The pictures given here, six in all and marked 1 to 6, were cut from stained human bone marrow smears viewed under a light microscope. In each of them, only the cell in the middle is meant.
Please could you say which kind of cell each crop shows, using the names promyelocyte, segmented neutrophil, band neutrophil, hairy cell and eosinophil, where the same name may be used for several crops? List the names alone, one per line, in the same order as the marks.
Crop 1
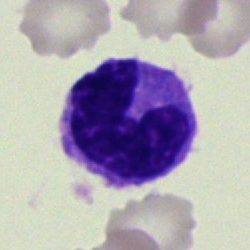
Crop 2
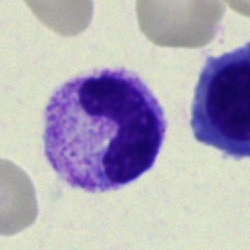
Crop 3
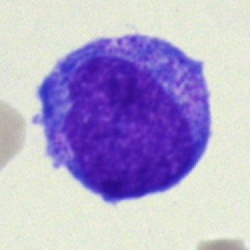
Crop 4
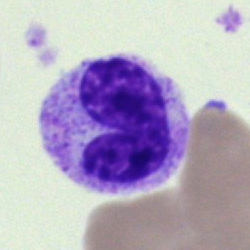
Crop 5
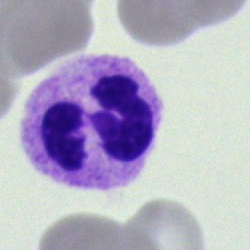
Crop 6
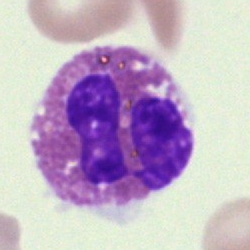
band neutrophil
band neutrophil
promyelocyte
band neutrophil
segmented neutrophil
eosinophil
